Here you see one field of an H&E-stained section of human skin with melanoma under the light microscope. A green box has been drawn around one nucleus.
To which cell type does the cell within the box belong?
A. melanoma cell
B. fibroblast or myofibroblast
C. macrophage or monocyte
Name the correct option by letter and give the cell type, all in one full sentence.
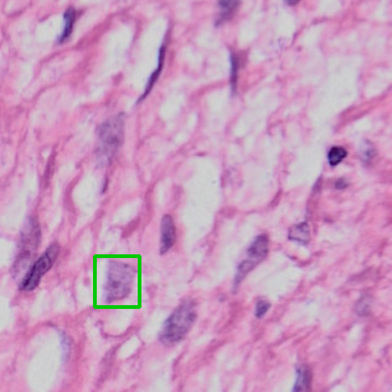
Option B, which has the cell within the box as a fibroblast or myofibroblast, is the correct choice.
